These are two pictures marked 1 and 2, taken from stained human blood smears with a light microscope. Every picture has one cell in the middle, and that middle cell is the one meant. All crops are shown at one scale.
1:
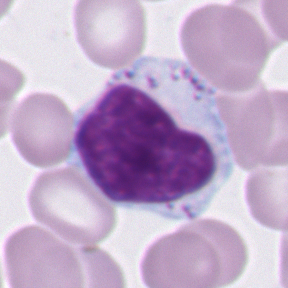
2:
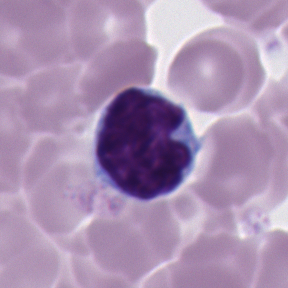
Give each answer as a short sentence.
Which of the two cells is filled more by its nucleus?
In crop 2 the nucleus takes up the larger part of its cell.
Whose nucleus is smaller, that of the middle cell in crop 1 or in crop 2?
Smaller is the nucleus in crop 2, and the other is about 1.5 times as large in area.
